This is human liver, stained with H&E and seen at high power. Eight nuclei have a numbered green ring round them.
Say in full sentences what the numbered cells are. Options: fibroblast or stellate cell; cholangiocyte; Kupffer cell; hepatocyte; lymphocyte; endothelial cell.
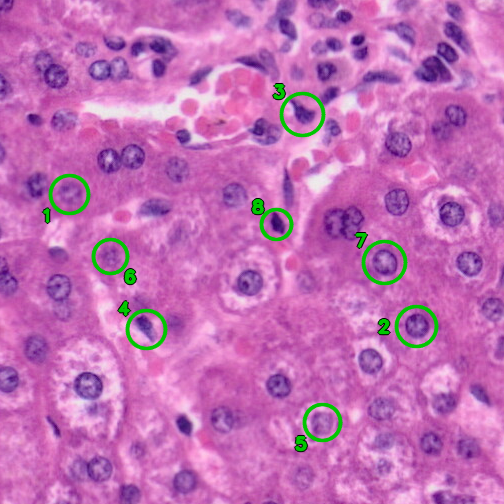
Cells 1, 2, 5, 6 and 7 are hepatocytes. Cells 3, 4 and 8 are fibroblasts or stellate cells.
